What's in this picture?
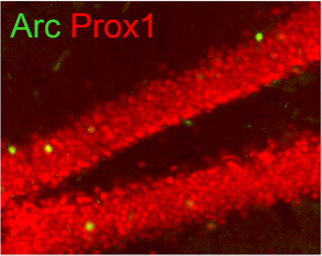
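This fluorescence image shows part of the dentate gyrus, where granule cells appear as closely packed small red round nuclei. They are arranged in two curved bands running diagonally across the field, separated by a dark zone with few cells. Only a small number of bright green round cells lie scattered within the red bands. The regions outside the bands are dark and largely unlabelled.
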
